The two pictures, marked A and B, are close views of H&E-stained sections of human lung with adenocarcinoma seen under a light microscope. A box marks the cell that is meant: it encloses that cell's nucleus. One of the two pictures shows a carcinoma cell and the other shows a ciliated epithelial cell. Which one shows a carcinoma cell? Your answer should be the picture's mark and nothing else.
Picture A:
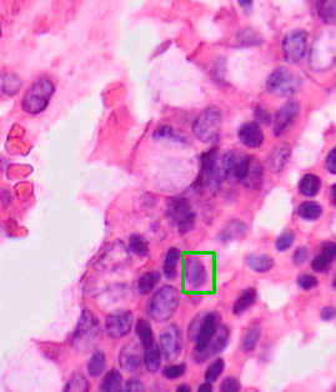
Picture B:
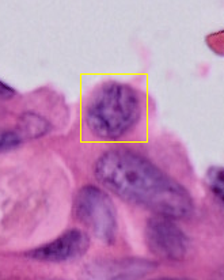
B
